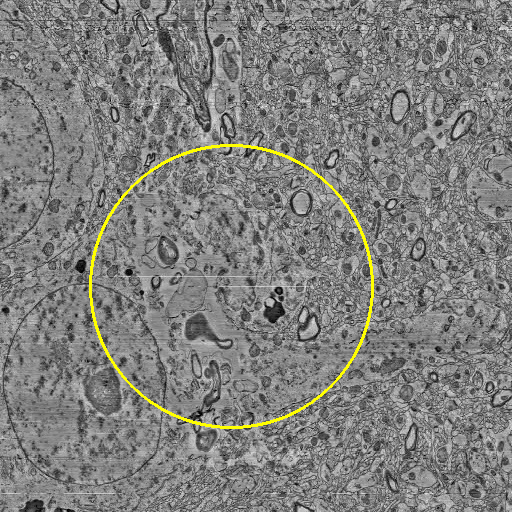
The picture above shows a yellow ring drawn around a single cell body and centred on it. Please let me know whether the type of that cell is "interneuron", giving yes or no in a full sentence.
Yes, that type fits the cell at the centre of the ring above.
